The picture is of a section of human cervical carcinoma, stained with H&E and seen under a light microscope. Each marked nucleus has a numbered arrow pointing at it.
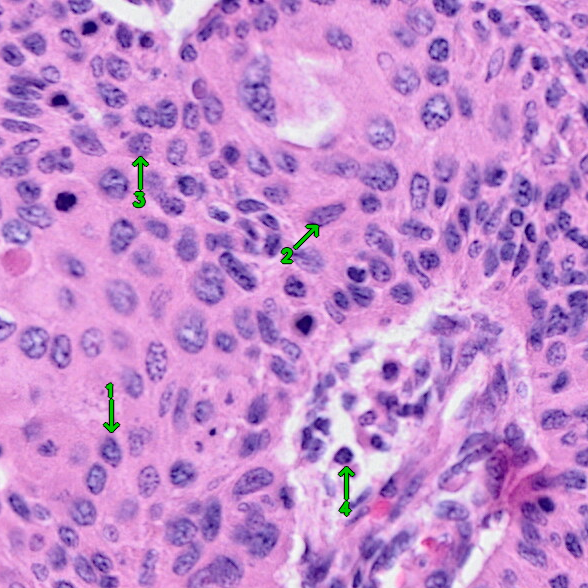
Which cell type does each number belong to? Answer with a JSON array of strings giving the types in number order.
["squamous carcinoma cell", "squamous carcinoma cell", "squamous carcinoma cell", "lymphocyte"]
